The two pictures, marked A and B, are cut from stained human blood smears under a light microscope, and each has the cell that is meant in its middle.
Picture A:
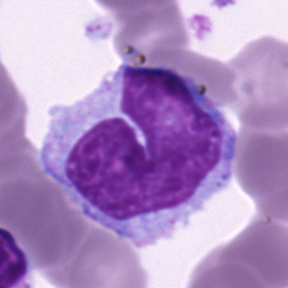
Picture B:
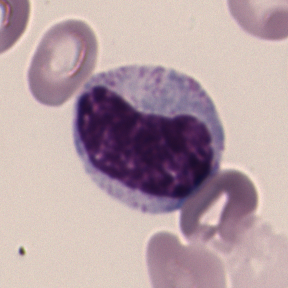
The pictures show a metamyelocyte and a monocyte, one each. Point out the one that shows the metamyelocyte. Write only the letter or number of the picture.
B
